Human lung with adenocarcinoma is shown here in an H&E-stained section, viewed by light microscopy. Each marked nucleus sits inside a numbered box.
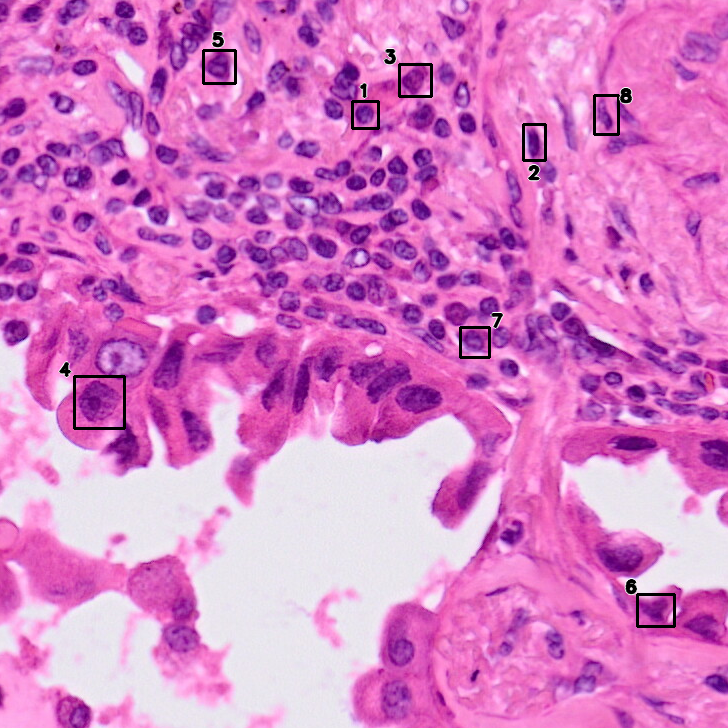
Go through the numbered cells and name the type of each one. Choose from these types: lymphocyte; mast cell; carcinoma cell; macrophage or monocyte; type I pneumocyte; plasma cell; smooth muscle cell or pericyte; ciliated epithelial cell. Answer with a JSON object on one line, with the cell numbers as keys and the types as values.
{"1": "lymphocyte", "2": "plasma cell", "3": "plasma cell", "4": "carcinoma cell", "5": "plasma cell", "6": "carcinoma cell", "7": "plasma cell", "8": "smooth muscle cell or pericyte"}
